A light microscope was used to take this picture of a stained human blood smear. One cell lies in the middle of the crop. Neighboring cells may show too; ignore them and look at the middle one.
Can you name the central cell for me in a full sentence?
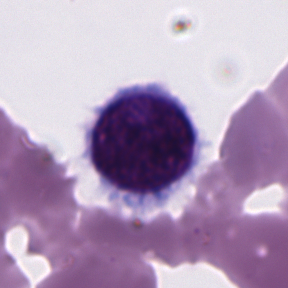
The cell occupying the middle of the crop is a hairy cell.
